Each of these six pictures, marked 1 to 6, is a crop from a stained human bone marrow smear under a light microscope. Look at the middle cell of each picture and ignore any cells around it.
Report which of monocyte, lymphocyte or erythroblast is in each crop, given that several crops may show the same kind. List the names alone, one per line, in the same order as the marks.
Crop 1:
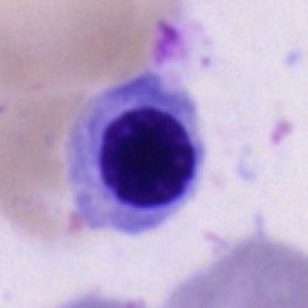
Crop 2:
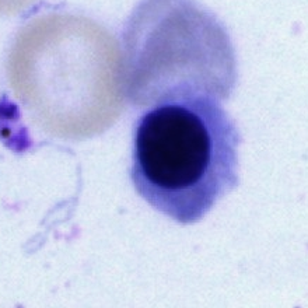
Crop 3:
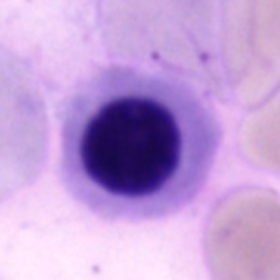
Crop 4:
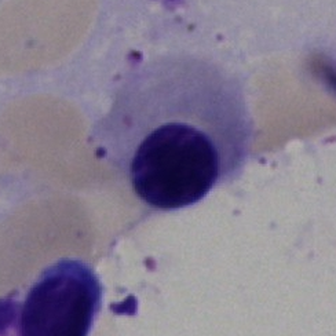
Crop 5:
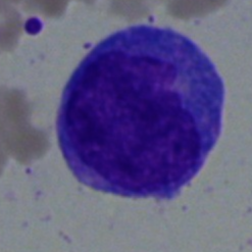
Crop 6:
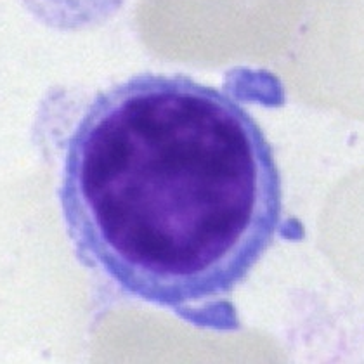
erythroblast
erythroblast
erythroblast
erythroblast
monocyte
lymphocyte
